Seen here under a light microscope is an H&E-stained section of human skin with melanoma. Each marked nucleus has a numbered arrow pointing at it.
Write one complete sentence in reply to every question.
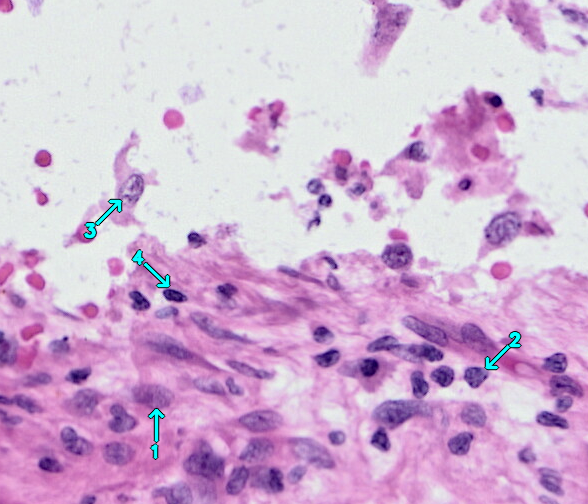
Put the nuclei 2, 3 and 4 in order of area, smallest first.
From smallest to largest, the order is 4, 2, 3.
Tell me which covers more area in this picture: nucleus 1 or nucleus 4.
The larger nucleus is 1, at roughly 2 times the area of 4.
